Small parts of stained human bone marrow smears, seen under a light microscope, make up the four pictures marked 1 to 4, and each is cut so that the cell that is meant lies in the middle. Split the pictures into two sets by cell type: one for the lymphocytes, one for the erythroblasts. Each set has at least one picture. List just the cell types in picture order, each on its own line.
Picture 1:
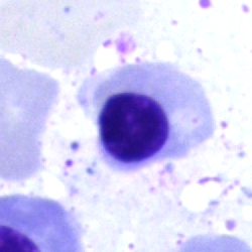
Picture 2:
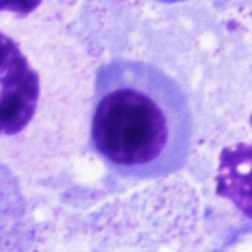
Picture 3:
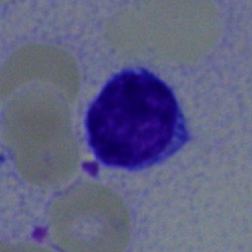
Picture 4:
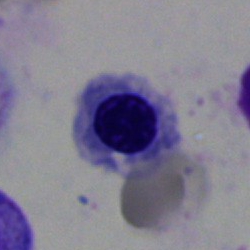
erythroblast
erythroblast
lymphocyte
erythroblast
